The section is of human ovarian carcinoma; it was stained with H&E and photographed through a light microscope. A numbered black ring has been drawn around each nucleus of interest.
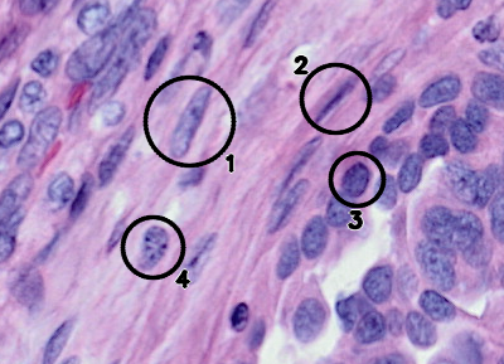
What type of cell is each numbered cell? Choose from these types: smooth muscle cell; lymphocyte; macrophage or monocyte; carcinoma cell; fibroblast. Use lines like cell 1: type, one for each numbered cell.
cell 1: fibroblast
cell 2: fibroblast
cell 3: carcinoma cell
cell 4: macrophage or monocyte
